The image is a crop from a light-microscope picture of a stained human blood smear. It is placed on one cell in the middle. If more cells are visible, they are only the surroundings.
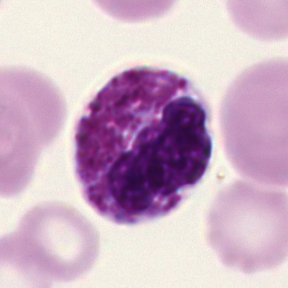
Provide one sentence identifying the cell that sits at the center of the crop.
By classification, the middle cell of this crop is an eosinophil.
